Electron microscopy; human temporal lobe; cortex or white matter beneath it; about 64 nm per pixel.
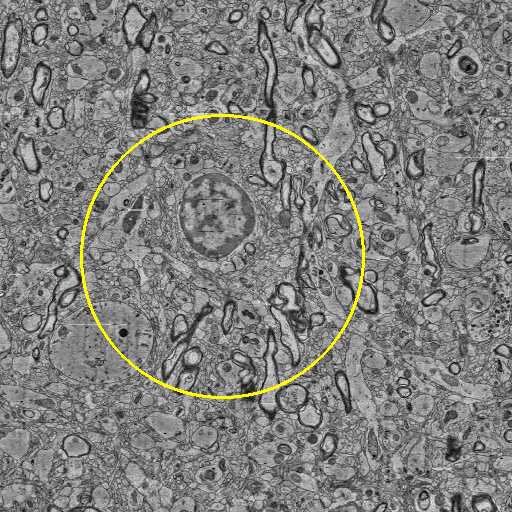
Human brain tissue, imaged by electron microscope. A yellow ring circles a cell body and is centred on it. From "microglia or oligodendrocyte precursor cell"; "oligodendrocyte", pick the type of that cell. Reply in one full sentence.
The cell body at the centre of the yellow ring belongs to a microglial cell or oligodendrocyte precursor cell.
